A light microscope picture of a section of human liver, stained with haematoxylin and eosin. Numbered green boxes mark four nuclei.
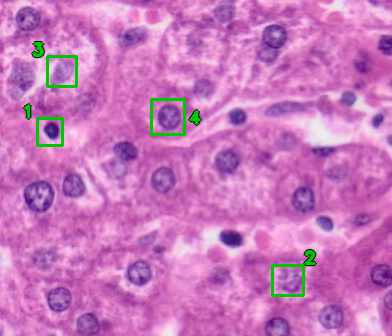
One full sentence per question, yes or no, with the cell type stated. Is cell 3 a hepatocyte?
Yes, among the marked cells, the one with number 3 is a hepatocyte.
